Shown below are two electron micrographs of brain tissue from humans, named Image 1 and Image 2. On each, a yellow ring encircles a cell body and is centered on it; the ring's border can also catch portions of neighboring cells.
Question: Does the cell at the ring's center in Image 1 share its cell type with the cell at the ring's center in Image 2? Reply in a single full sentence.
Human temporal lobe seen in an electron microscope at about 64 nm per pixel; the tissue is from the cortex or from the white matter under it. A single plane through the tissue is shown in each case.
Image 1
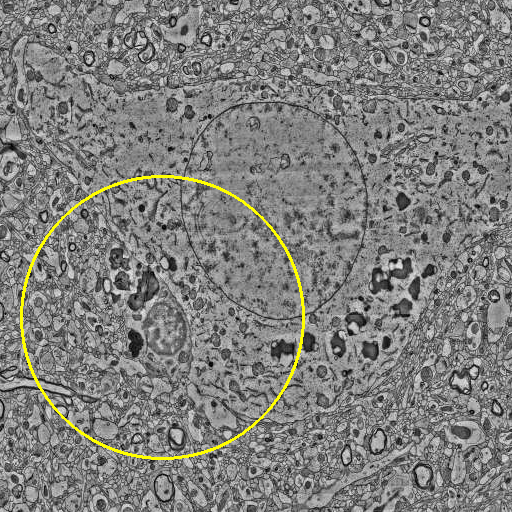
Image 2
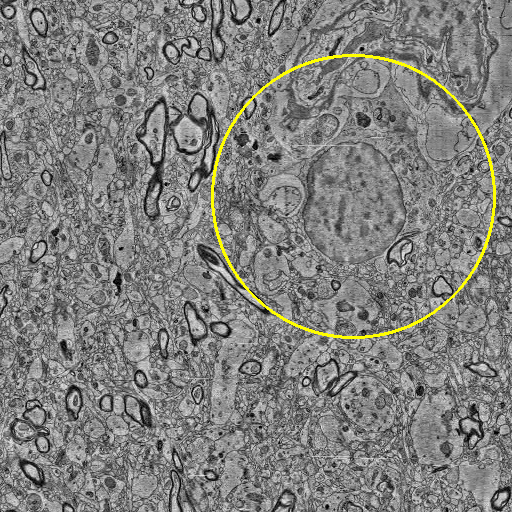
Yes, the two cells at the ring centers, in Image 1 and Image 2, share one cell type.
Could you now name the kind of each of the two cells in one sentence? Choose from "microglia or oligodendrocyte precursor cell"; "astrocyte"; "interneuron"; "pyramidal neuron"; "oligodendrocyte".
Both pictures show an oligodendrocyte at the centre of the ring.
